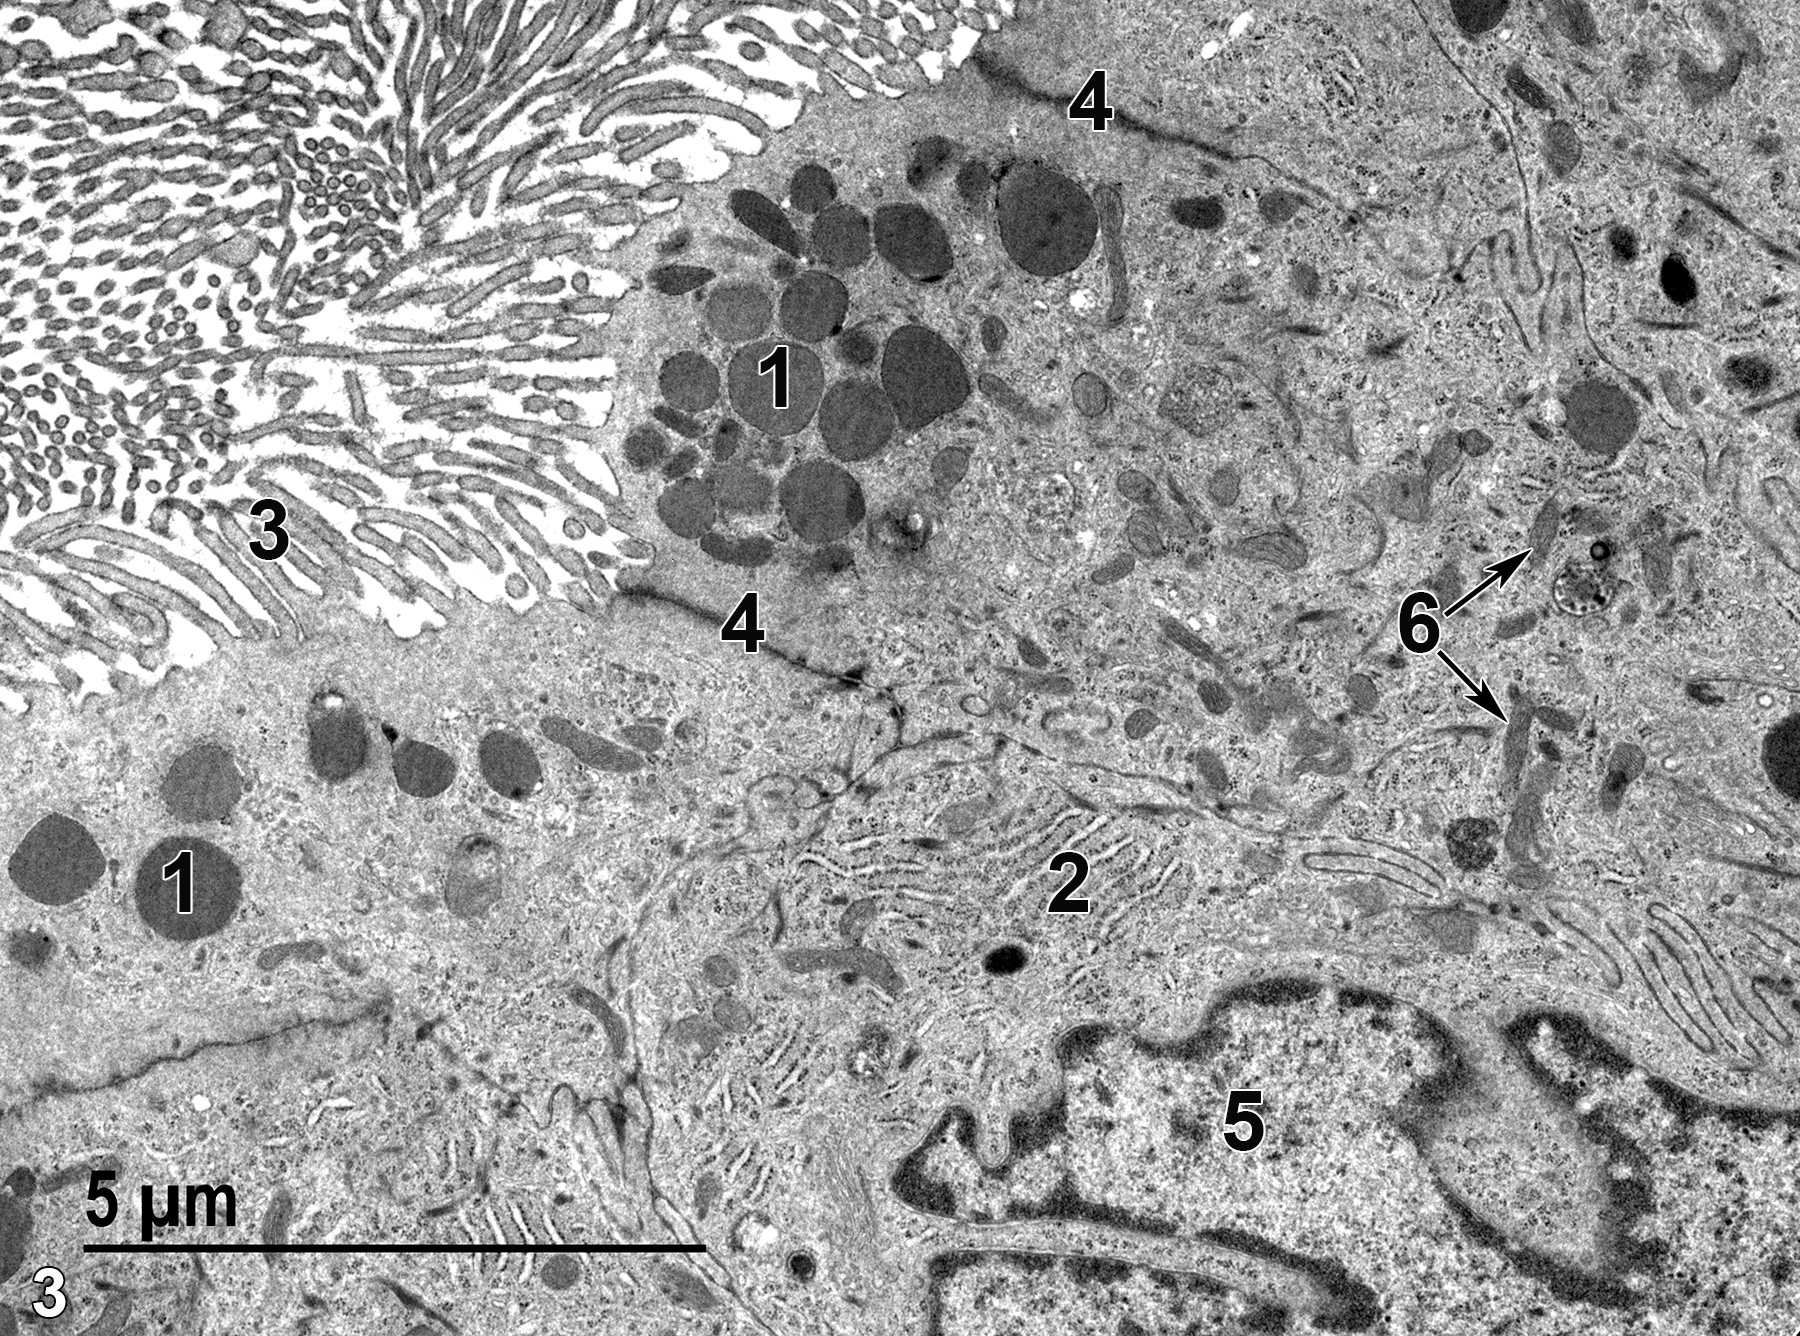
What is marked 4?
4 marks the junctional complexes.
